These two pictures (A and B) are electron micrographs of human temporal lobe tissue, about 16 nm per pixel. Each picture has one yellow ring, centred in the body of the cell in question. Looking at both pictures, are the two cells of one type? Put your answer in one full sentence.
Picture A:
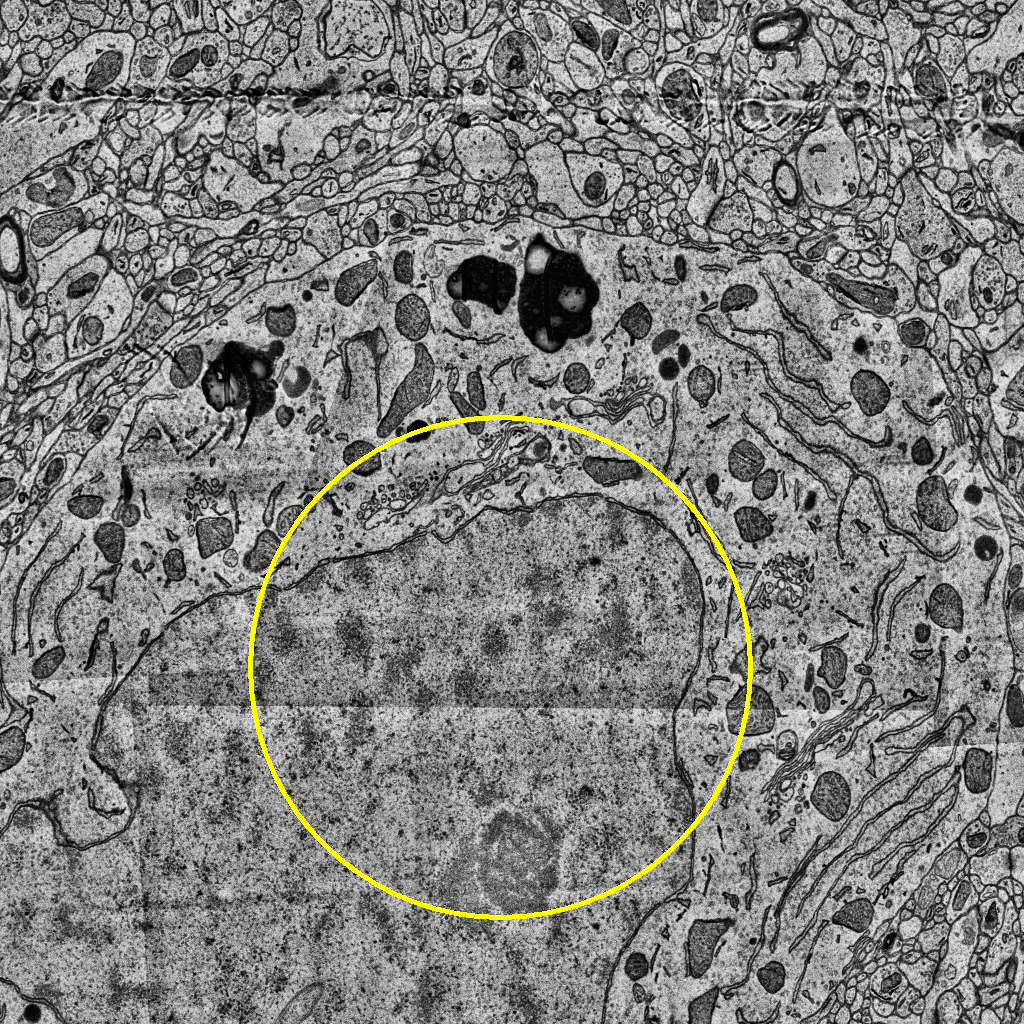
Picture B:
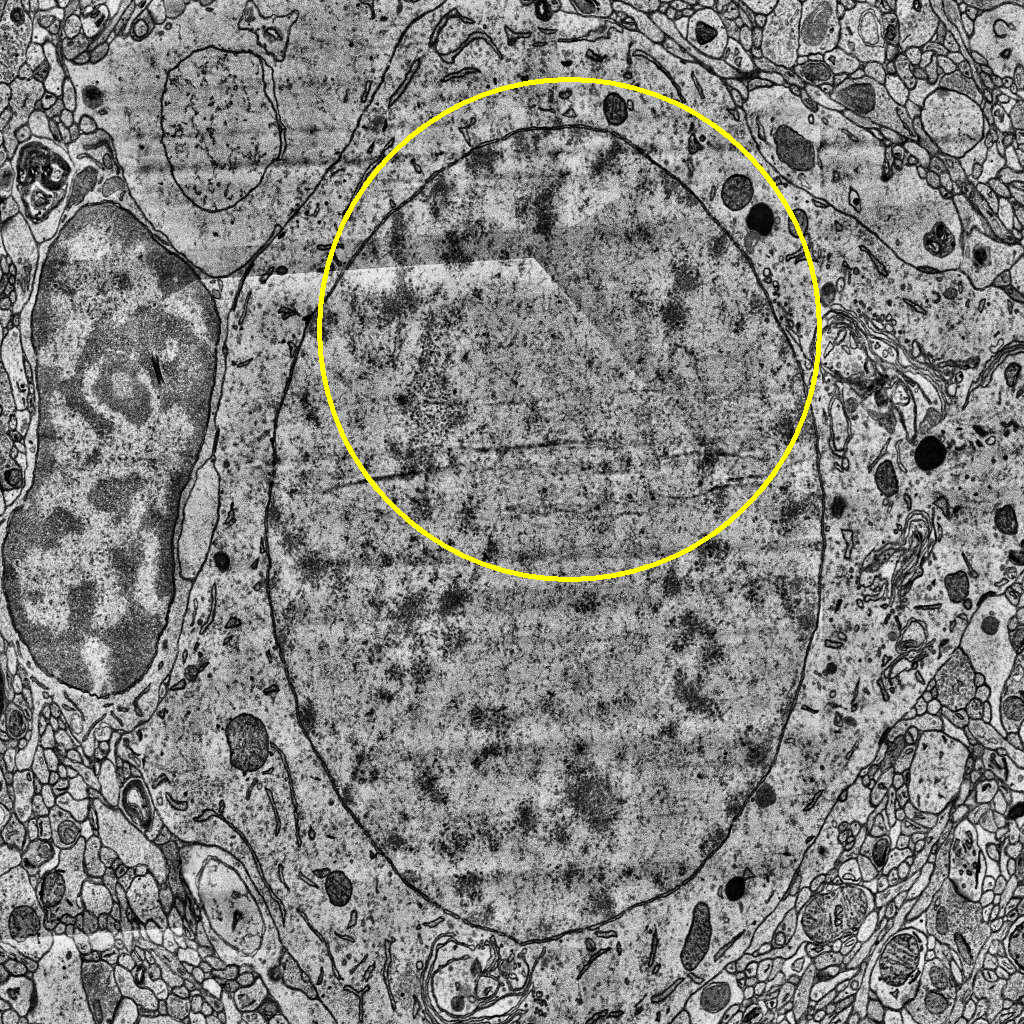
No, the types are not the same, since picture A shows an interneuron and picture B a pyramidal neuron.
